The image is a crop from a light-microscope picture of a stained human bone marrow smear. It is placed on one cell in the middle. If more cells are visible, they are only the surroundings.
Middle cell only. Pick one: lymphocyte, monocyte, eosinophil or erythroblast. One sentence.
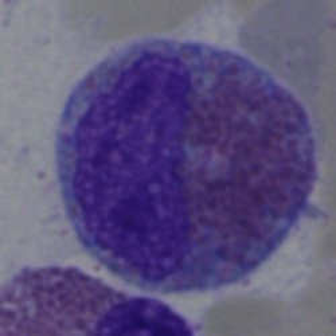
At the crop's centre, the cell is an eosinophil.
